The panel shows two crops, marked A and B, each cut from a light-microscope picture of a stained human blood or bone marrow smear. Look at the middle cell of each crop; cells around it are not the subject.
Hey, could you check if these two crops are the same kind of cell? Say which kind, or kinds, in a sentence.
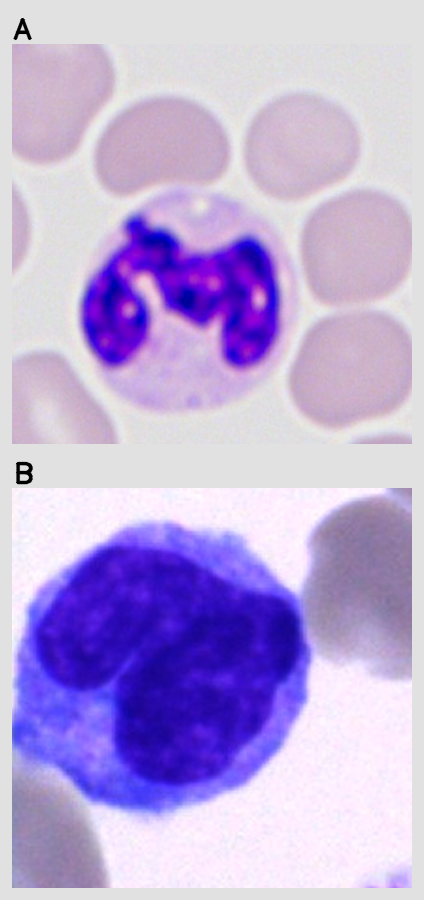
No, a segmented neutrophil is depicted by crop A, a monocyte by crop B.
